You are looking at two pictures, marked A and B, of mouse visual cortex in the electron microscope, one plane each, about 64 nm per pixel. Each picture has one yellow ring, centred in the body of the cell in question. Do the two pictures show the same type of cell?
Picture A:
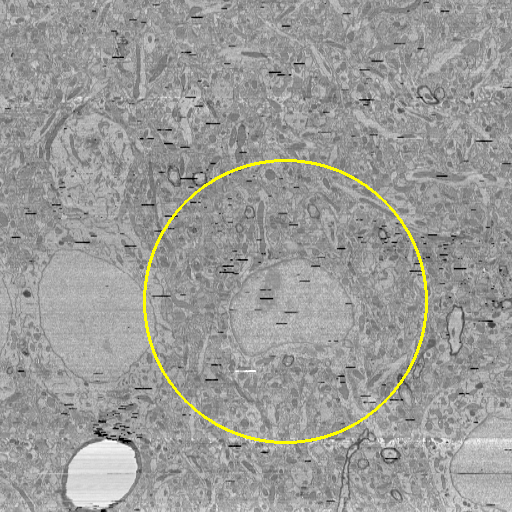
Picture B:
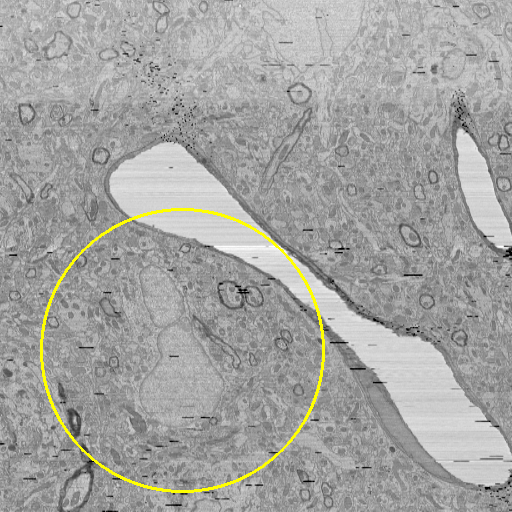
Yes; the cells in both pictures are astrocytes.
